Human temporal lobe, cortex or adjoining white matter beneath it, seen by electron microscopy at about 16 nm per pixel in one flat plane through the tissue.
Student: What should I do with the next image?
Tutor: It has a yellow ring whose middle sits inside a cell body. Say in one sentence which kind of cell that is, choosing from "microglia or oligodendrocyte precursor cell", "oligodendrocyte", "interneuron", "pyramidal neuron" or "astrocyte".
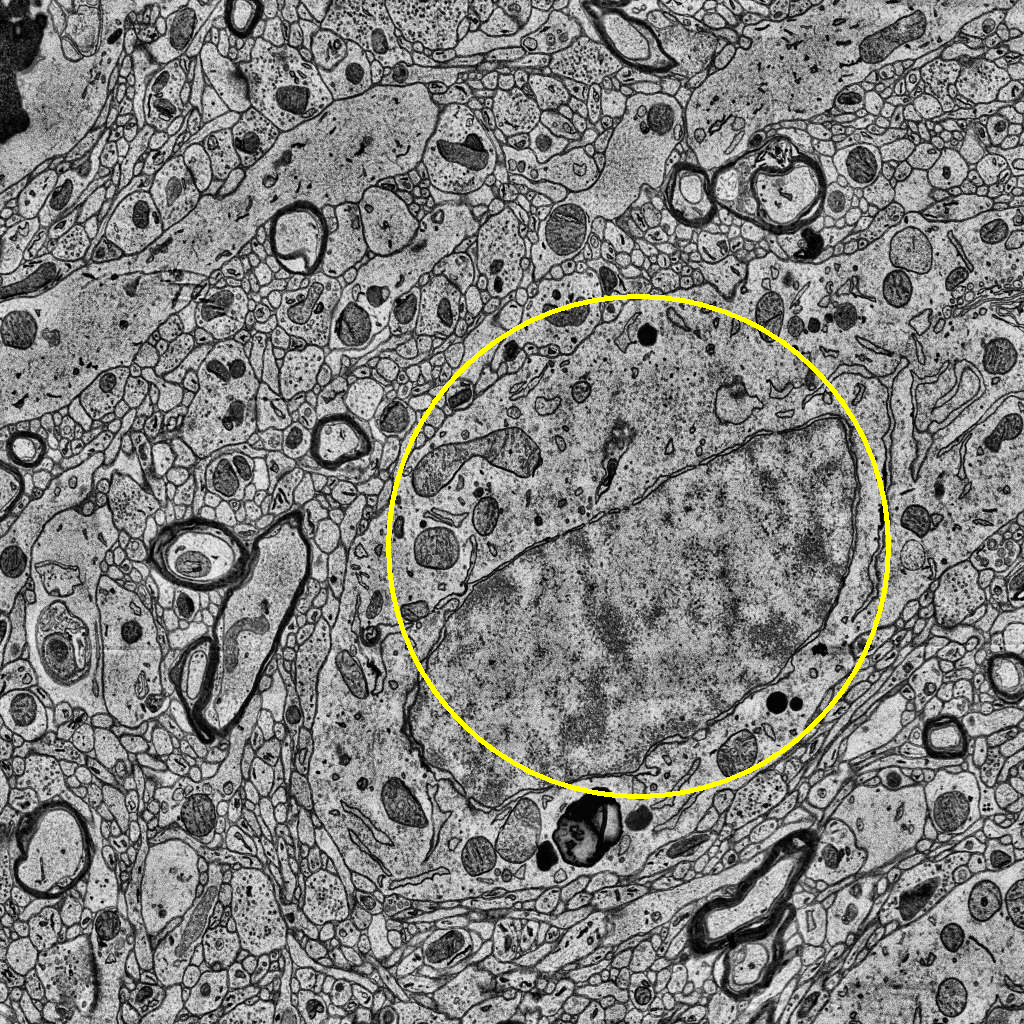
The ring's centre is occupied by an interneuron.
